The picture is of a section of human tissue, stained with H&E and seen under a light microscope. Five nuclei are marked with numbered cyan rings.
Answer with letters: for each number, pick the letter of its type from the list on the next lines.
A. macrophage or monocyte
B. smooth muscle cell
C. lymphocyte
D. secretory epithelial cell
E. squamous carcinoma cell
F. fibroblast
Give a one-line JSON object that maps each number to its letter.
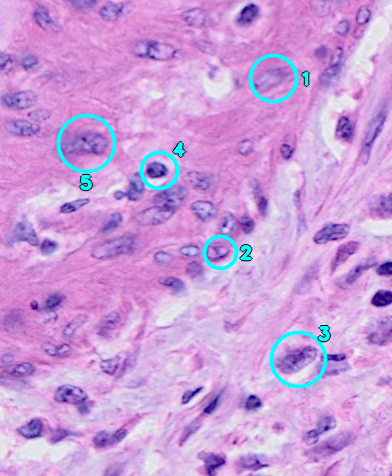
{"1": "B", "2": "B", "3": "A", "4": "C", "5": "B"}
